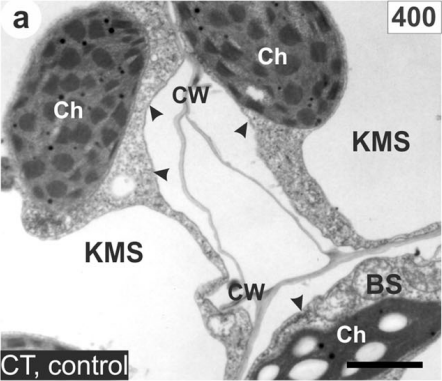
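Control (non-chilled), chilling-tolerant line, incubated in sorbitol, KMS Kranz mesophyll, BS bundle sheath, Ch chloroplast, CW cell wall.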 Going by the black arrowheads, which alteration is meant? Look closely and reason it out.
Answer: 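Incipient plasmolysis. At the arrowheads the cytoplasm is drawn back from the wall, leaving a clear gap. The walls between the cells lie free of cytoplasm in places.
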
